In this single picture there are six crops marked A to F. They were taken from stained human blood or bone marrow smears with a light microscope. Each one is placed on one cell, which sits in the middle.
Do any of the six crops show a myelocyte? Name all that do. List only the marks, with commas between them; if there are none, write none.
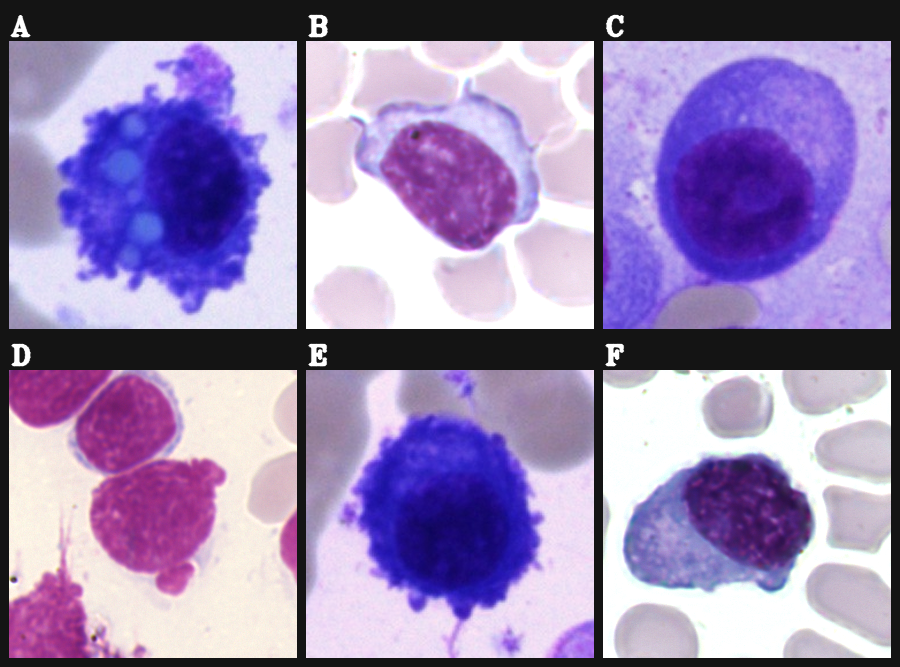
none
